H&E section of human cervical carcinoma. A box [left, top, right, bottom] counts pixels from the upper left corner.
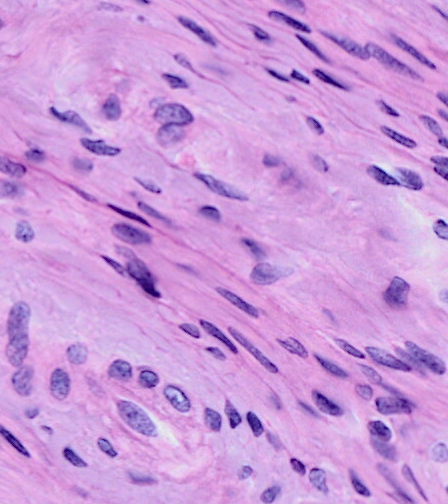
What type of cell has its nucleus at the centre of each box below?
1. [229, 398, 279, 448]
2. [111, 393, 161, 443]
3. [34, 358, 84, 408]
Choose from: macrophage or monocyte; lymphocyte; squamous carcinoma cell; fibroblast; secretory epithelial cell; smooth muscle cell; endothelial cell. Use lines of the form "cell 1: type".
cell 1: fibroblast
cell 2: endothelial cell
cell 3: smooth muscle cell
